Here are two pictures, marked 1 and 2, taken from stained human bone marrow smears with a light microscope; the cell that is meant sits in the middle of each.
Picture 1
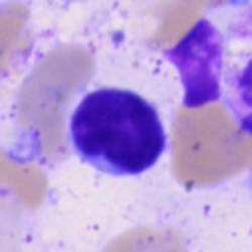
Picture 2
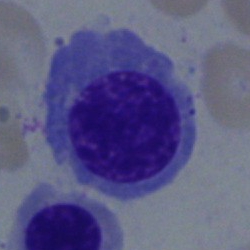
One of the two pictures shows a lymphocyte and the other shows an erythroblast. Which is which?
1: lymphocyte
2: erythroblast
